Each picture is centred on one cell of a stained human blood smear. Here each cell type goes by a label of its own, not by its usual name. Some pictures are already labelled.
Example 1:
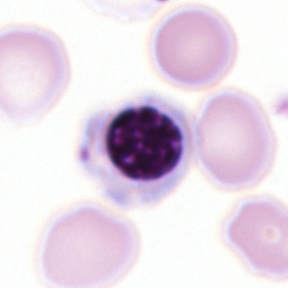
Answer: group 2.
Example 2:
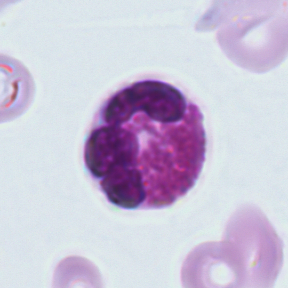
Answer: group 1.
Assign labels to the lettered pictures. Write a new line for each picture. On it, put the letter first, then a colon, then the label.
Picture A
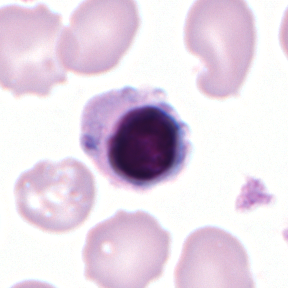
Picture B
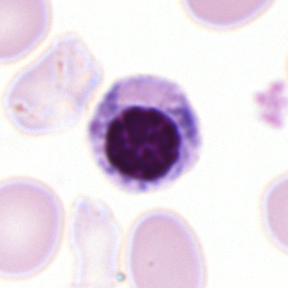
A: group 2.
B: group 2.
